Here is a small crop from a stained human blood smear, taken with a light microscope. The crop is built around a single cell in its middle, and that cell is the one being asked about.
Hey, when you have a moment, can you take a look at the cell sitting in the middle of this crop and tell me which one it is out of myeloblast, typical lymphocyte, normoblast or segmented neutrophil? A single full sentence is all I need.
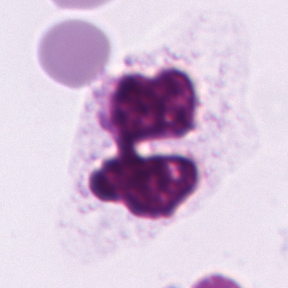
The cell sitting right in the middle is a segmented neutrophil.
